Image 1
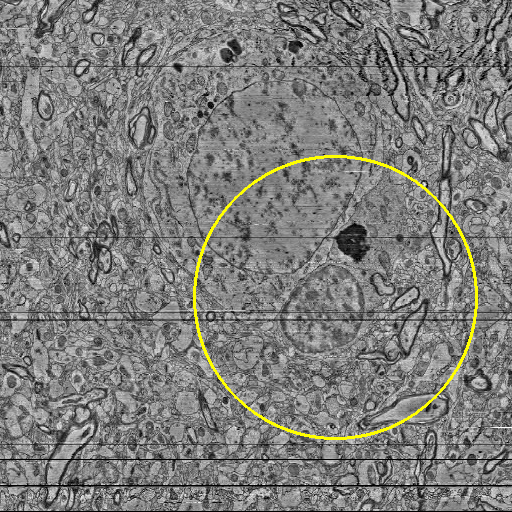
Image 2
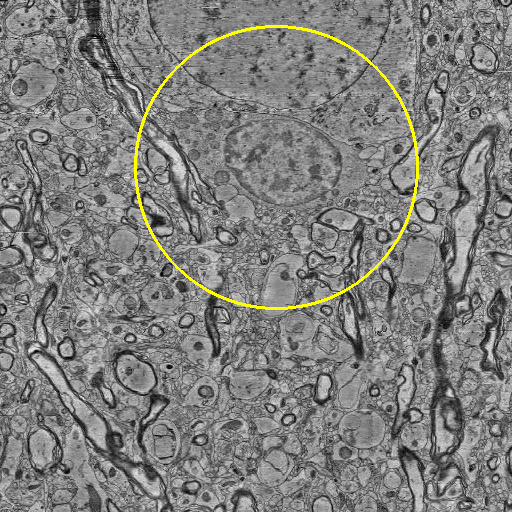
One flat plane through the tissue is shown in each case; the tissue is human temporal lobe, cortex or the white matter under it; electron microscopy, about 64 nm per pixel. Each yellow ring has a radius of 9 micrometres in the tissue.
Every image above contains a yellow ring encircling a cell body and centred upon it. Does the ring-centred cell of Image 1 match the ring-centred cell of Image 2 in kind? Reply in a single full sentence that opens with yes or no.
Yes, the cell at the ring's centre in Image 1 is the same kind as that in Image 2.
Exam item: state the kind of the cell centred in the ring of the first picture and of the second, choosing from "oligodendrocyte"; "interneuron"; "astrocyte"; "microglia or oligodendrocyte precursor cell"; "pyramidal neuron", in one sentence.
In each picture the ringed cell is an oligodendrocyte.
